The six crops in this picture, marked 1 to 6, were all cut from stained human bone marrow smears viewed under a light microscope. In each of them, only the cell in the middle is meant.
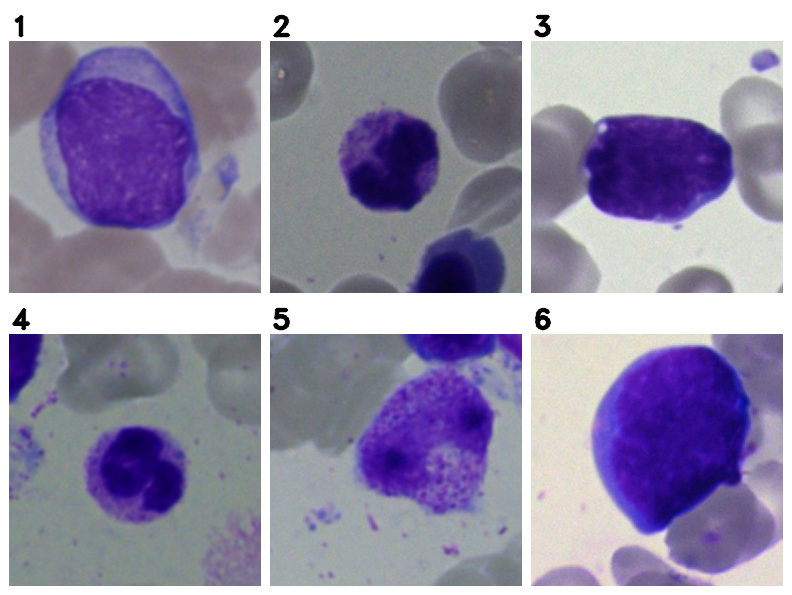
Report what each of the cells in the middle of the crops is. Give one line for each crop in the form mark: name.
1: blast
2: segmented neutrophil
3: blast
4: segmented neutrophil
5: band neutrophil
6: blast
